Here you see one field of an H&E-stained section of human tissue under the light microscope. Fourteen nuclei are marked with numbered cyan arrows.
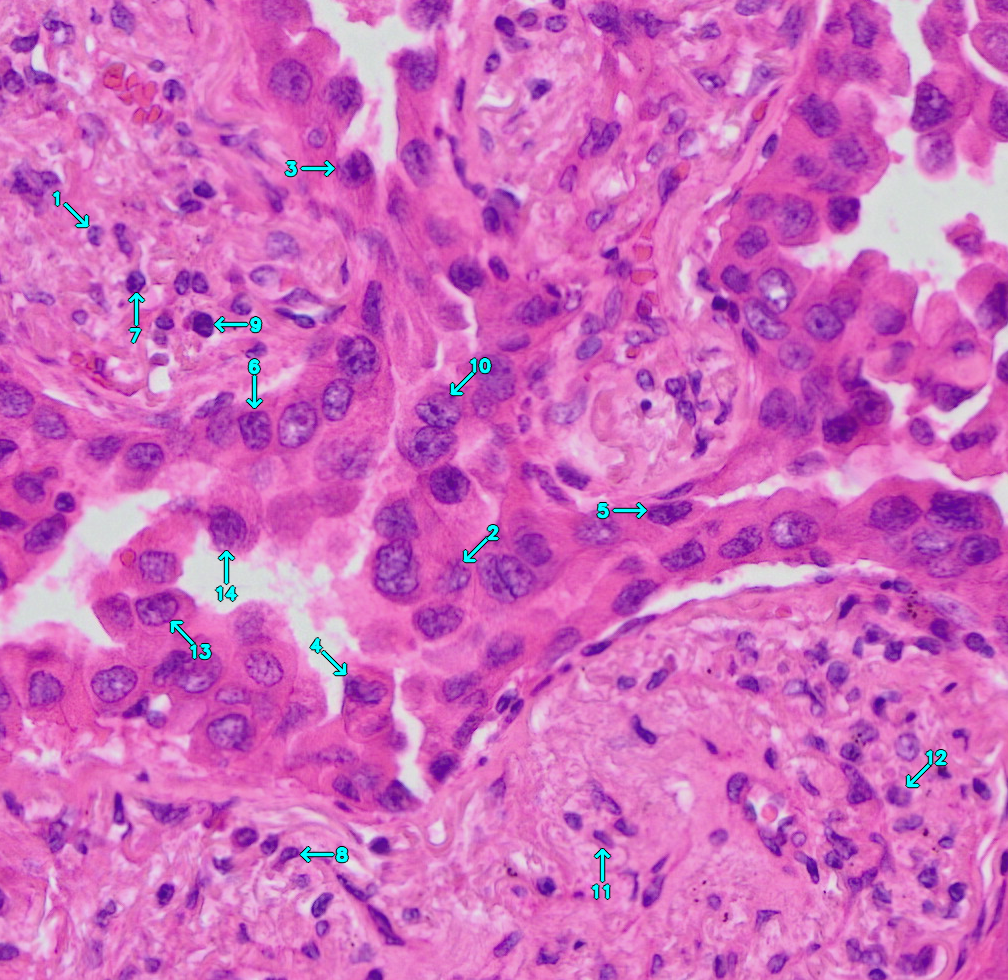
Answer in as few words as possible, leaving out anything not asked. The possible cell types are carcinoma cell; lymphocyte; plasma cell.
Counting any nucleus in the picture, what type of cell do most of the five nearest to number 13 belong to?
carcinoma cell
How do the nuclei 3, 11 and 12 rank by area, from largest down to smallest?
3, 12, 11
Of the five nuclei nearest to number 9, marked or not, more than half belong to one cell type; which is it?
plasma cell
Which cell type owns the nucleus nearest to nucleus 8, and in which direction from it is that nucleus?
a plasma cell, above and to the left of nucleus 8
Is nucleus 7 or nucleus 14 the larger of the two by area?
14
